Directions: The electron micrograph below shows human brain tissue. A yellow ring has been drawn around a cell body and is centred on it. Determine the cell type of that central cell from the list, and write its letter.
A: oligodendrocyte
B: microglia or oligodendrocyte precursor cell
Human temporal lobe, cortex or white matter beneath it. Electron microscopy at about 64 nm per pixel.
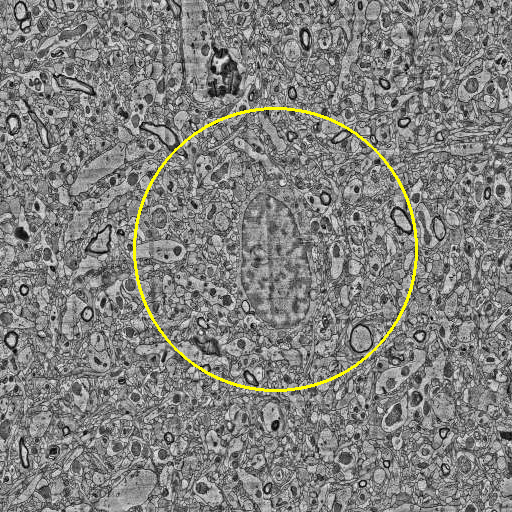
A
